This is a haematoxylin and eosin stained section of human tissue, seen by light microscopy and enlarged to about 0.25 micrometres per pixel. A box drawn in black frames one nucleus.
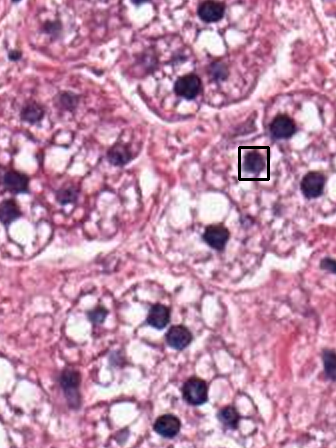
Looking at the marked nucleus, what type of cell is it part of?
adrenal cortical cell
